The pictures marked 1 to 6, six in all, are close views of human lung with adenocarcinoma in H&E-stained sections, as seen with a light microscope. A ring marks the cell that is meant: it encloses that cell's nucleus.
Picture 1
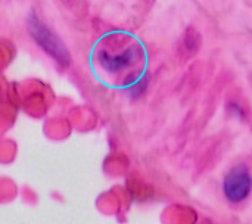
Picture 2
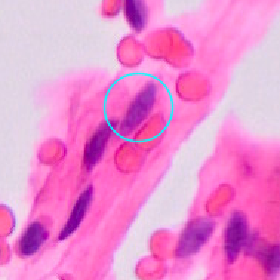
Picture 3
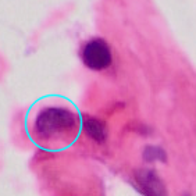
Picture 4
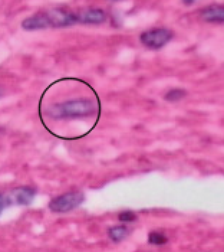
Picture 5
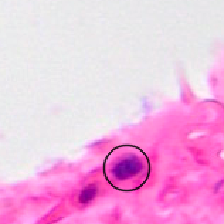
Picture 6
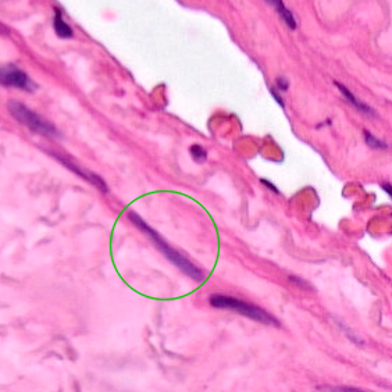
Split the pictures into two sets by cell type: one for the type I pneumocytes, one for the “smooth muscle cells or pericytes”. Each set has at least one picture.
1: smooth muscle cell or pericyte
2: type I pneumocyte
3: type I pneumocyte
4: smooth muscle cell or pericyte
5: smooth muscle cell or pericyte
6: smooth muscle cell or pericyte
